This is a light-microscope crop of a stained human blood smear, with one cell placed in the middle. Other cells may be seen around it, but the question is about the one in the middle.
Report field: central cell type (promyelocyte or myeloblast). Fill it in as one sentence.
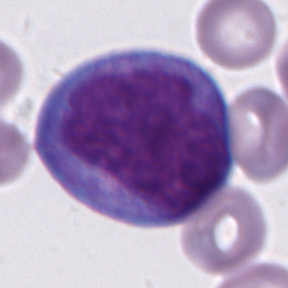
Answering briefly, the cell in the middle is a promyelocyte.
